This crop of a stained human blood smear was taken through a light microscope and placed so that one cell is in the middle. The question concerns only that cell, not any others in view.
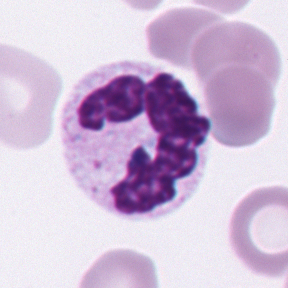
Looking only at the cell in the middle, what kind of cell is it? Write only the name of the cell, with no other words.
segmented neutrophil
